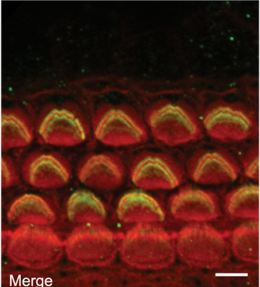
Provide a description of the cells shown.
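This is a surface view of the cochlear sensory epithelium with the hair bundles of sensory hair cells seen from above. Three rows of outer hair cells carry V- or crescent-shaped bundles outlined in red, and along the crest of each V runs a thin green-yellow line. A single row of inner hair cells at the bottom bears flatter, broader arcs of red with a fine bristly texture and only faint green. The cells sit in regular, evenly spaced rows with red cell boundaries between them.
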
